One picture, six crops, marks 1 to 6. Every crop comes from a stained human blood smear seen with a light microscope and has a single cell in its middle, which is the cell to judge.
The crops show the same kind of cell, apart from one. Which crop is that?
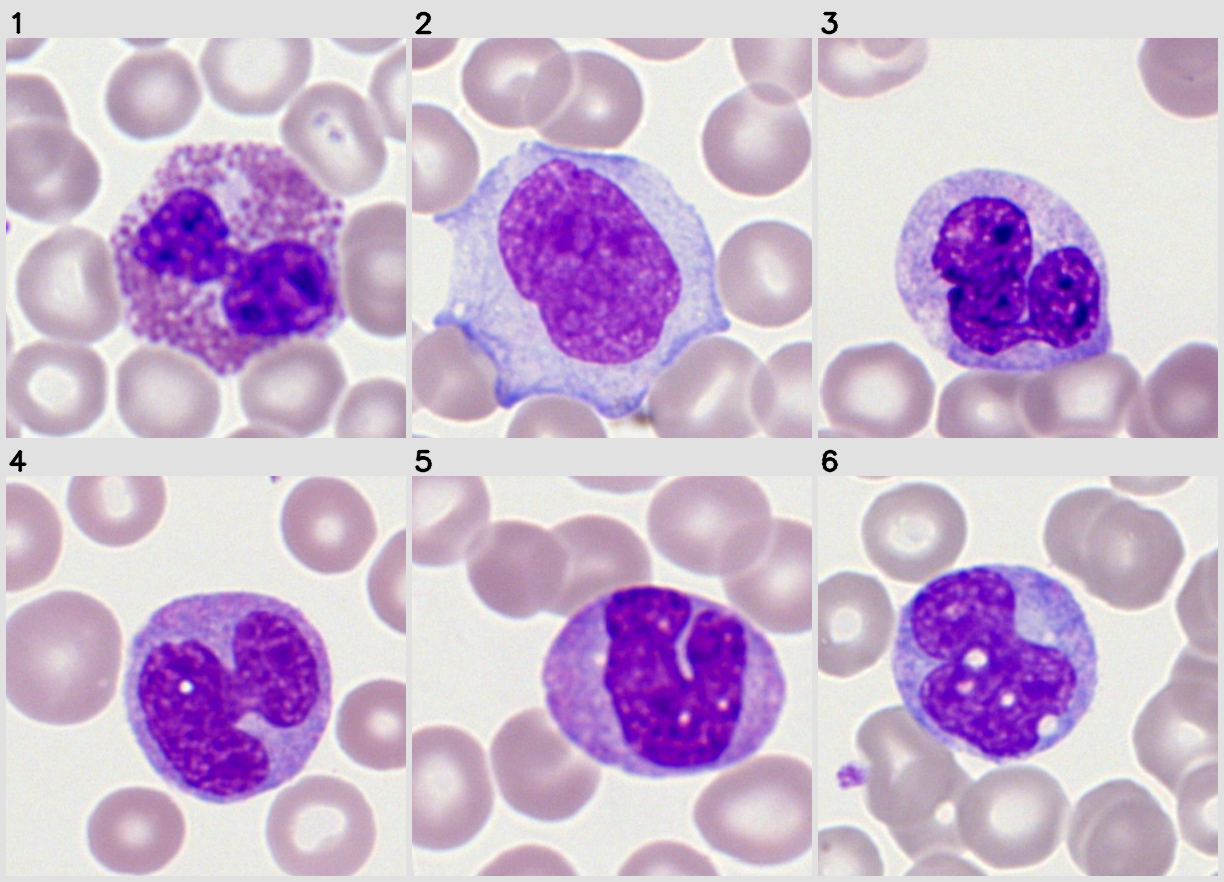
1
